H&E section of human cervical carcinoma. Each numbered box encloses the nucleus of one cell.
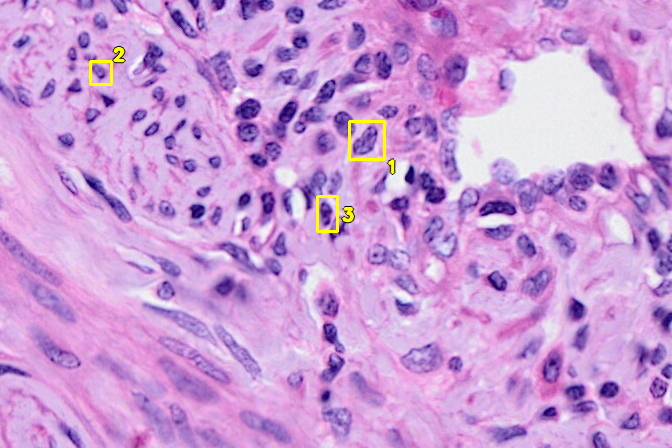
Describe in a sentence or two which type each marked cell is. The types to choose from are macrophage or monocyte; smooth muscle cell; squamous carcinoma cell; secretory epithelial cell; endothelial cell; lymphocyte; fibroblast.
Cells 1 and 3 are lymphocytes. Cell 2 is a smooth muscle cell.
